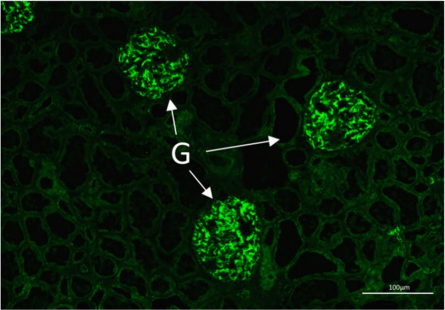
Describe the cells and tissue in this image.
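This is a section of kidney cortex with three round glomeruli standing out as bright green tufts against a dark background, and a fourth cut at the upper left edge. Within each glomerulus the green label follows an intricate, branching, lace-like pattern across the capillary tuft. The surrounding tissue is packed with tubular profiles, seen only as faint green outlines of their walls with dark lumens and cytoplasm. Outside the glomeruli the label is thus sparse and weak.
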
